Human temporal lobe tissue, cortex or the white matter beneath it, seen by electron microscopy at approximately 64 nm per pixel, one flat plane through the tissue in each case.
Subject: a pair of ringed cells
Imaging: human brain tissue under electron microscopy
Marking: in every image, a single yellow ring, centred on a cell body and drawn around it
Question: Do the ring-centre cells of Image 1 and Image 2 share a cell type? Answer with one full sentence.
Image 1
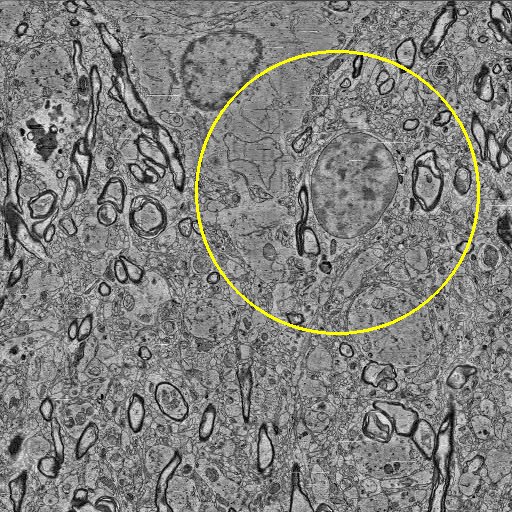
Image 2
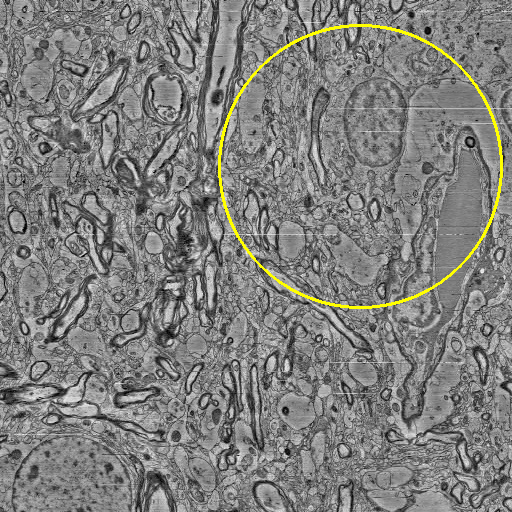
No, at the ring centres in the images sit cells of two separate types.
